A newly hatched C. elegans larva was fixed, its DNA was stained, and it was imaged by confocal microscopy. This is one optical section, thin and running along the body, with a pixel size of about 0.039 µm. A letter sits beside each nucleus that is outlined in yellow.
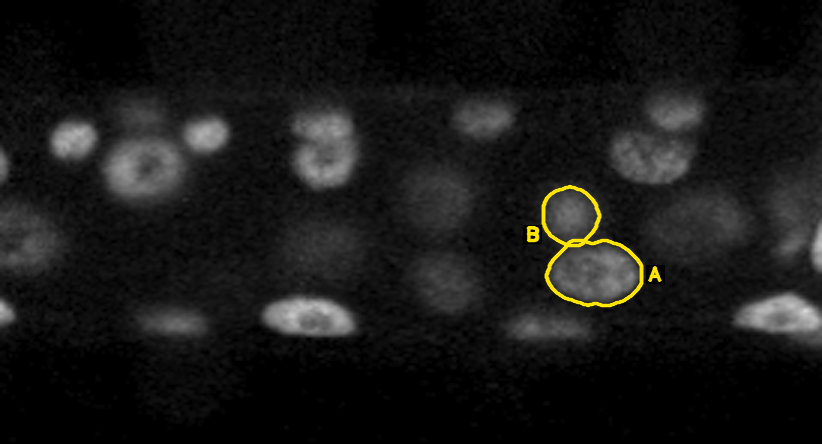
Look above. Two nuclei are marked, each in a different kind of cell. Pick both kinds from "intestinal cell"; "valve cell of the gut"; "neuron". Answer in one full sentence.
A belongs to an intestinal cell and B to a neuron.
